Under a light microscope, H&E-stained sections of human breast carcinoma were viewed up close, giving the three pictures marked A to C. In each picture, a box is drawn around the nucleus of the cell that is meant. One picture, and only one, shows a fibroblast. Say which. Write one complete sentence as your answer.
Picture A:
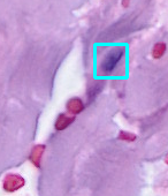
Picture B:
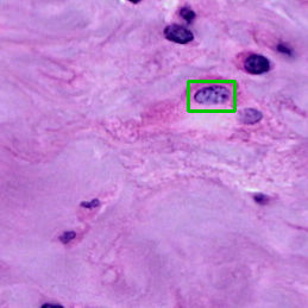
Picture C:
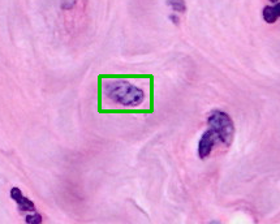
Picture A is the one that shows the fibroblast.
